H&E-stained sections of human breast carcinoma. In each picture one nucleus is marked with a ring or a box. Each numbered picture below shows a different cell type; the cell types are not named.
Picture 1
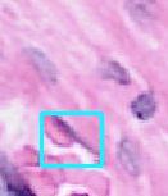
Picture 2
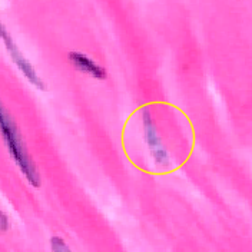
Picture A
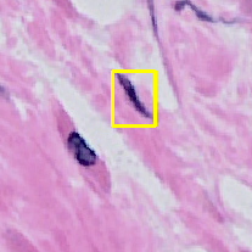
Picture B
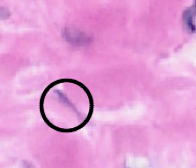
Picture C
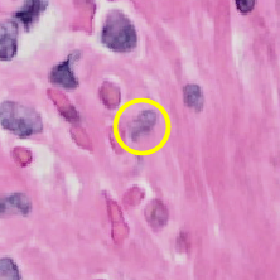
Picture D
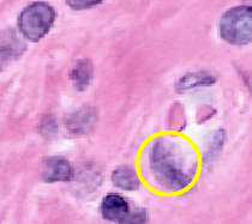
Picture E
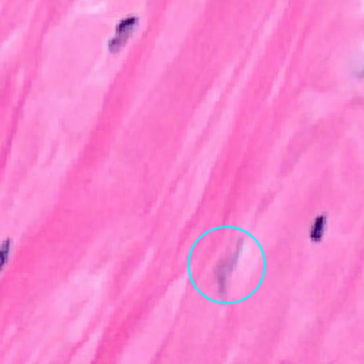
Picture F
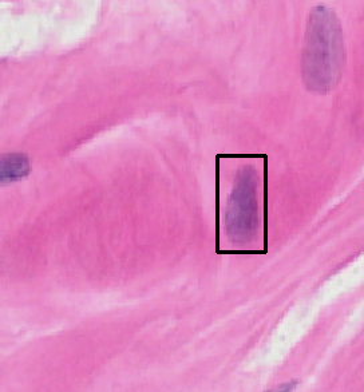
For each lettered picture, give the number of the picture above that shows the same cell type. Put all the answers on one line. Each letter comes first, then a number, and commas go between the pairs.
A 2, B 2, C 1, D 1, E 2, F 2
